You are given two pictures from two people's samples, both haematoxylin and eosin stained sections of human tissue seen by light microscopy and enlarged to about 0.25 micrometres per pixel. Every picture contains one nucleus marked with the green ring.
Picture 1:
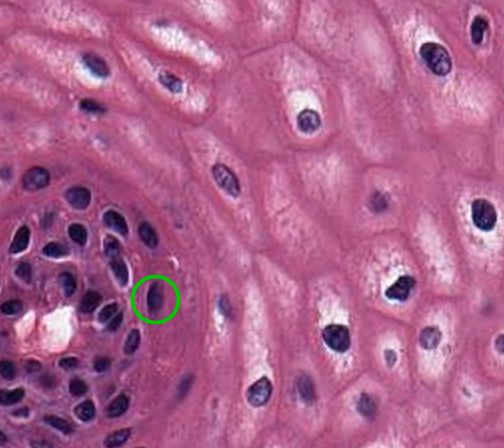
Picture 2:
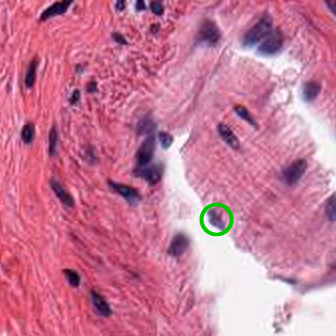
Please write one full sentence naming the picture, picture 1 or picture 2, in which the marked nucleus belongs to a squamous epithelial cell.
Within picture 1, the marked nucleus is the nucleus of a squamous epithelial cell.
